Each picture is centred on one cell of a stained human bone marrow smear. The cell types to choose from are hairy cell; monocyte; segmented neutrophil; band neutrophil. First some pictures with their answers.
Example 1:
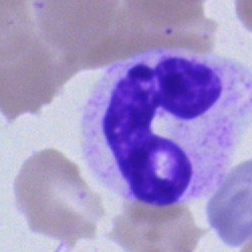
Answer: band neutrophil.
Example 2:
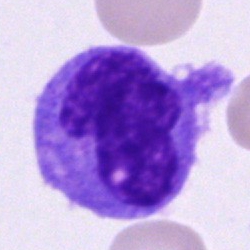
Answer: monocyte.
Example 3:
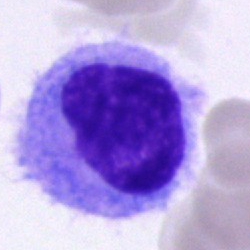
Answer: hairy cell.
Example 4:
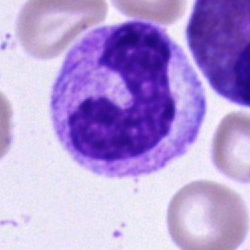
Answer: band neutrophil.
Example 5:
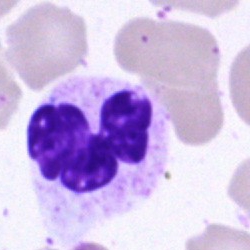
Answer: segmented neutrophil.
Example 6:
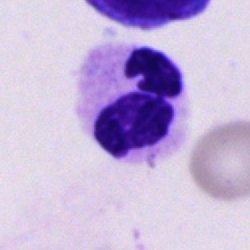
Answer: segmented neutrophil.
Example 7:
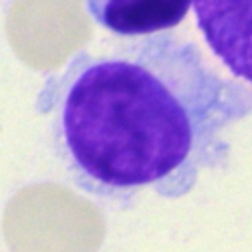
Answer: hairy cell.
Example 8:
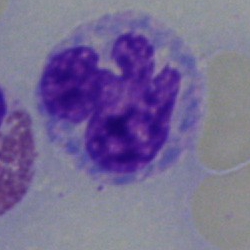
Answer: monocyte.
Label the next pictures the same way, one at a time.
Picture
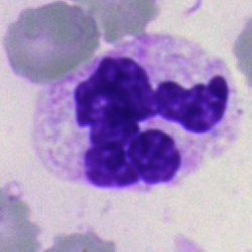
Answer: segmented neutrophil.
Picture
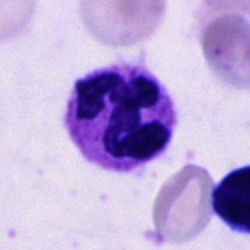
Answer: segmented neutrophil.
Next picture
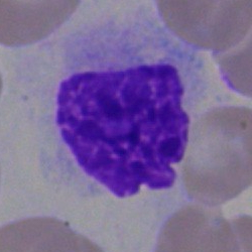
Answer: hairy cell.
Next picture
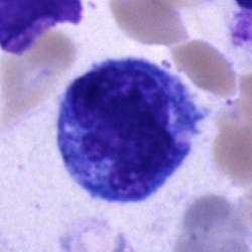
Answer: monocyte.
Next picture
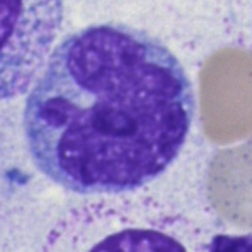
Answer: monocyte.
